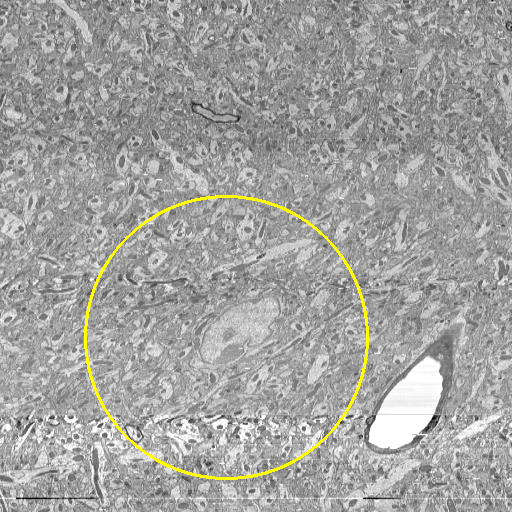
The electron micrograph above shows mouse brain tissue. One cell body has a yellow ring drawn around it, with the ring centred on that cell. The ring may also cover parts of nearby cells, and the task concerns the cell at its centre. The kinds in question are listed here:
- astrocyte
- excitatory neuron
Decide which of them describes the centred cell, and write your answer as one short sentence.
The centred cell is an astrocyte.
